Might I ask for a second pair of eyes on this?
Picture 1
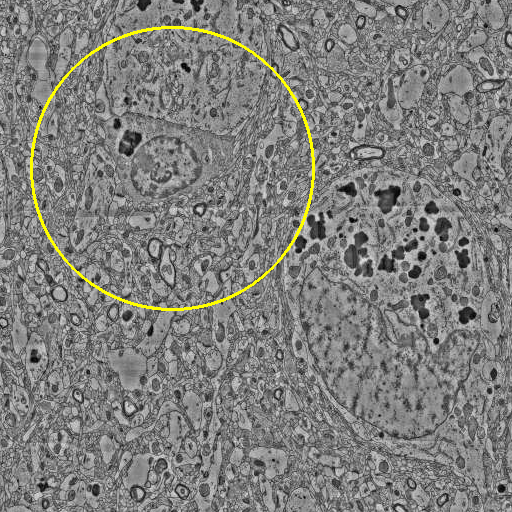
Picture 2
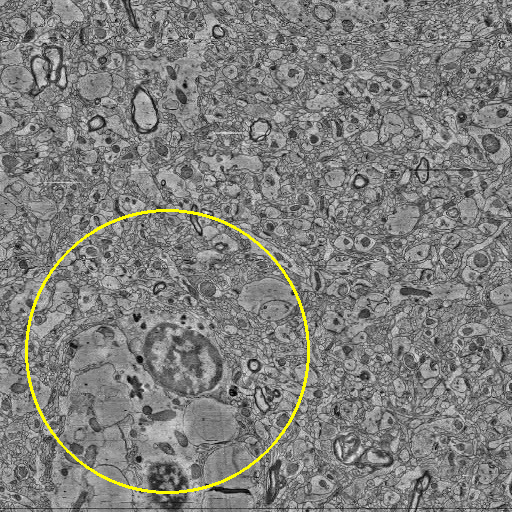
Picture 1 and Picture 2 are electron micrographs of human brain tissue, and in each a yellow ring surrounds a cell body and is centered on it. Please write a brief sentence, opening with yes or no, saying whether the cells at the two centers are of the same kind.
Yes, the cells are of the same kind.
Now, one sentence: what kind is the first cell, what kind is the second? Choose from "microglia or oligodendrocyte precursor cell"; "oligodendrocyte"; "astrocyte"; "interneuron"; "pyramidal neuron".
The second cell is an oligodendrocyte, just as the first is.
